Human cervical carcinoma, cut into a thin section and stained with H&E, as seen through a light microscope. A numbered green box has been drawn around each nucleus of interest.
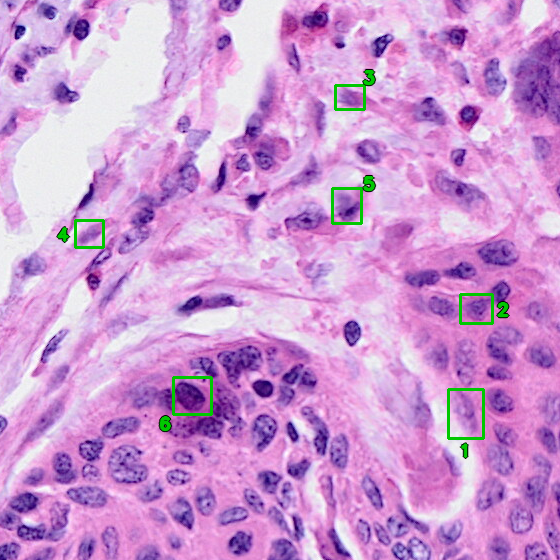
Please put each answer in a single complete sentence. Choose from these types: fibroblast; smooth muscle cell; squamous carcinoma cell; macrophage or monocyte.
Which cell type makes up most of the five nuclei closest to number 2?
Around number 2, most of the five nearest nuclei are those of squamous carcinoma cells.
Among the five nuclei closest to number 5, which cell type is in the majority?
Of the five nuclei nearest to number 5, most belong to fibroblasts.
